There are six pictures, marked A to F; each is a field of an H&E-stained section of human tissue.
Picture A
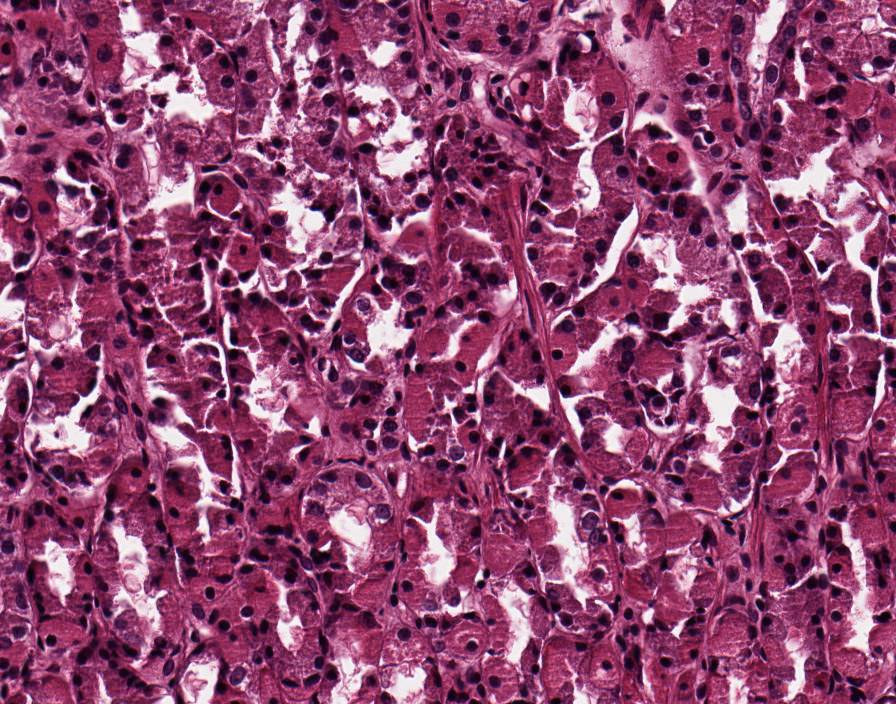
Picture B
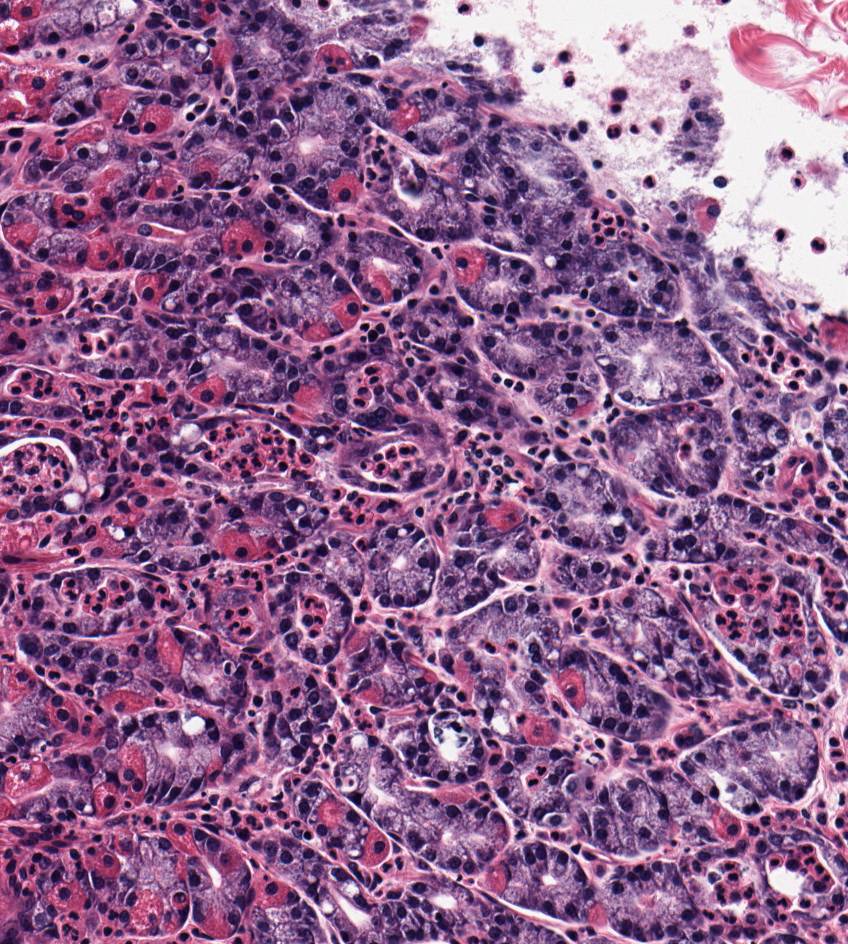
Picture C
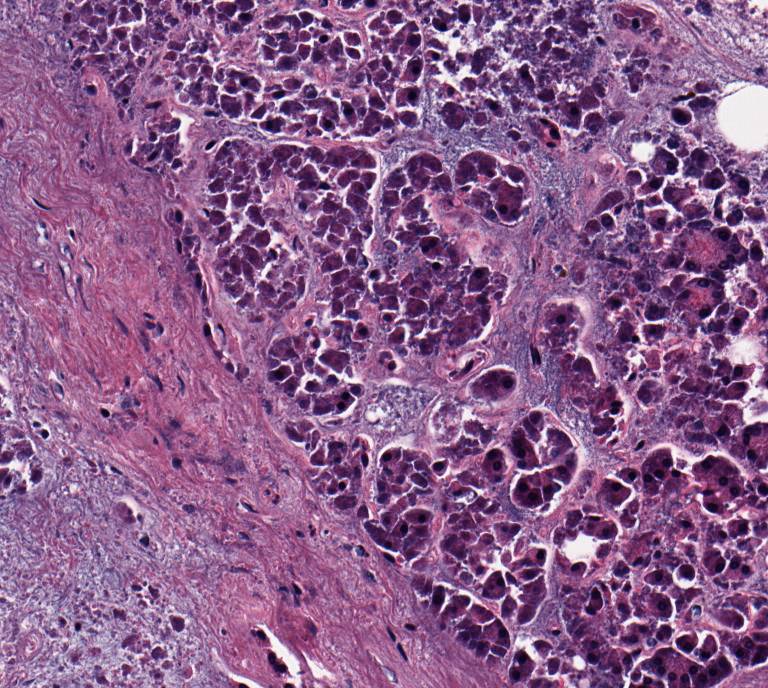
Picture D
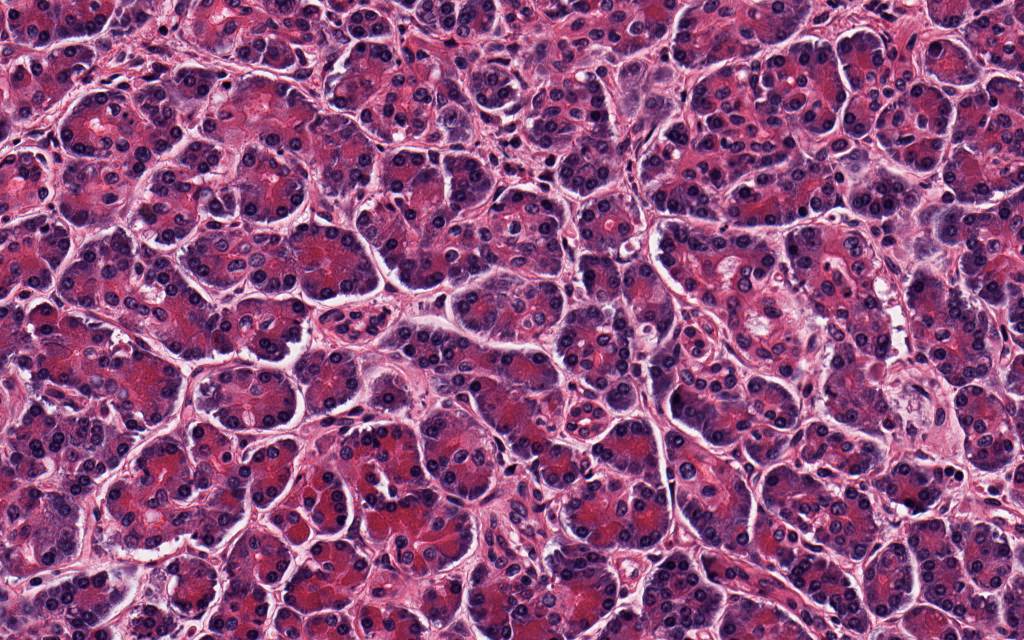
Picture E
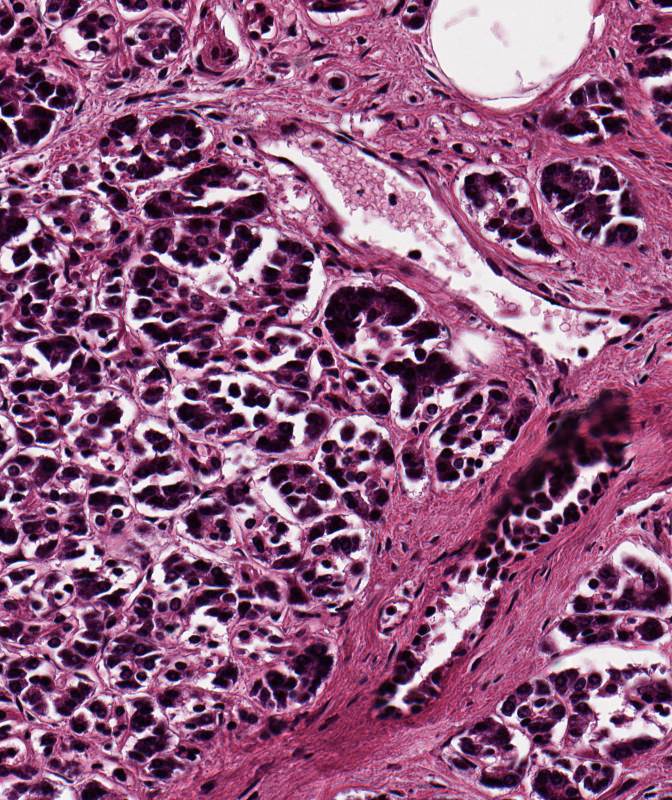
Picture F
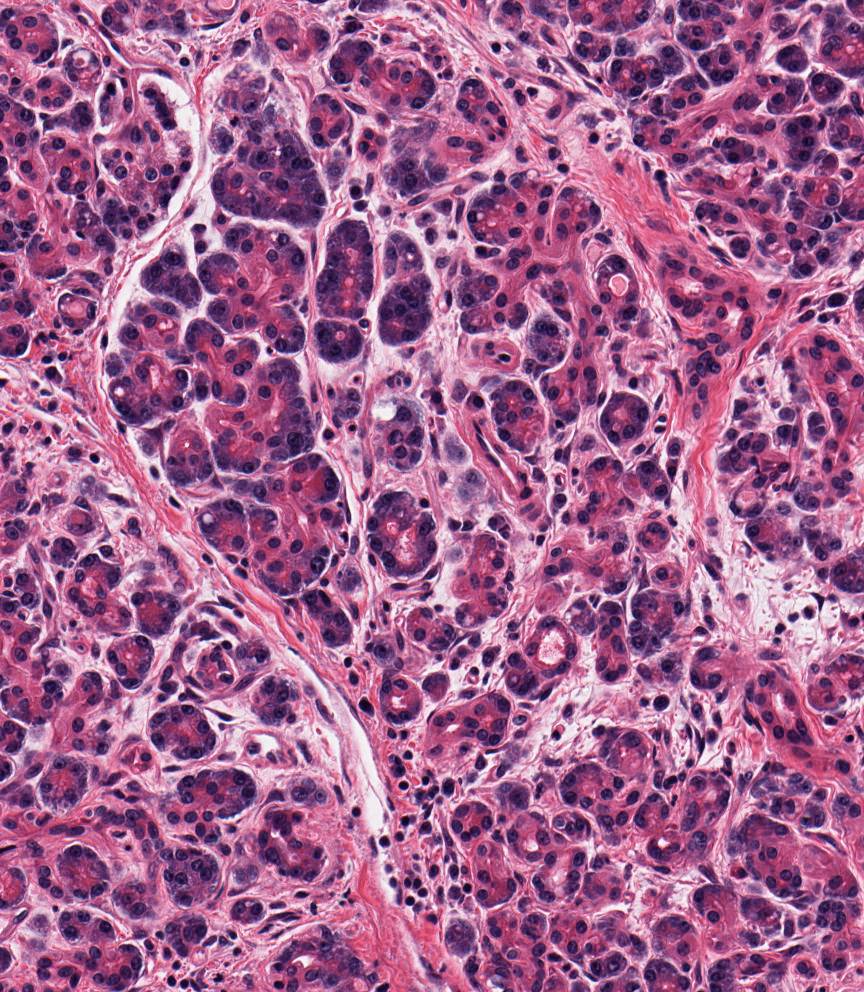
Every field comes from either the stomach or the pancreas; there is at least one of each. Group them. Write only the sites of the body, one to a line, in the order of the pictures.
stomach
stomach
pancreas
pancreas
pancreas
pancreas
